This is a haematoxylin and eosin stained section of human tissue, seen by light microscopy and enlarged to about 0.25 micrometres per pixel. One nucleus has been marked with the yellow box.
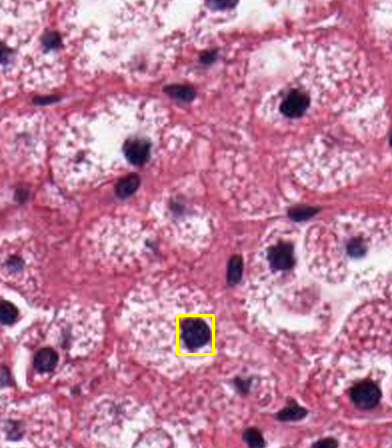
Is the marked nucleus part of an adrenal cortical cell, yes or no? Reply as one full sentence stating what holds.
Yes, the marked nucleus, in this picture, is that of an adrenal cortical cell.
